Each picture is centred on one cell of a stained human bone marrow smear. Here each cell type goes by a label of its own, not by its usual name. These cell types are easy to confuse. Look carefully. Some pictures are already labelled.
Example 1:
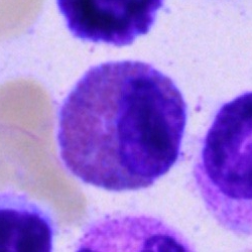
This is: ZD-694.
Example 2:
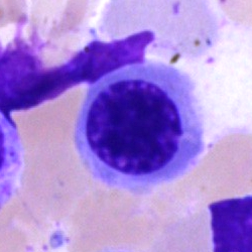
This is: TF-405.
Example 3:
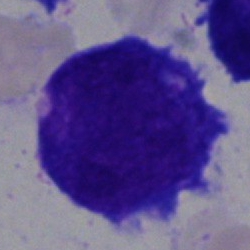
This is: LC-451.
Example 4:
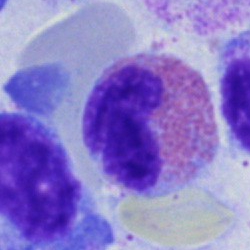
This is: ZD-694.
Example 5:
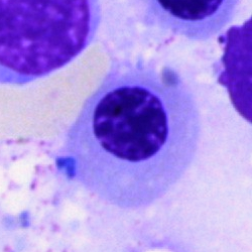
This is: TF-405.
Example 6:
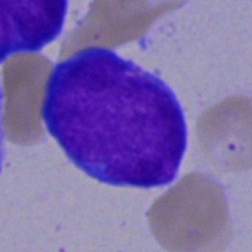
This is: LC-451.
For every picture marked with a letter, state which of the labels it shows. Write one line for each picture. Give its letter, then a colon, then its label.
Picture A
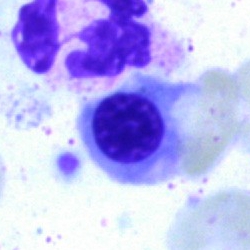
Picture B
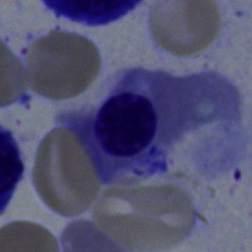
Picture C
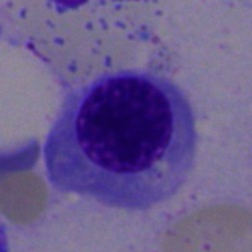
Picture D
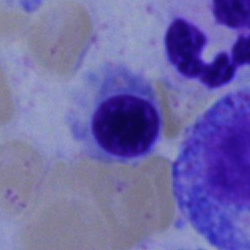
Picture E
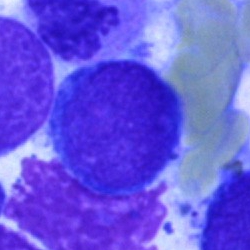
A: TF-405.
B: TF-405.
C: TF-405.
D: TF-405.
E: LC-451.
